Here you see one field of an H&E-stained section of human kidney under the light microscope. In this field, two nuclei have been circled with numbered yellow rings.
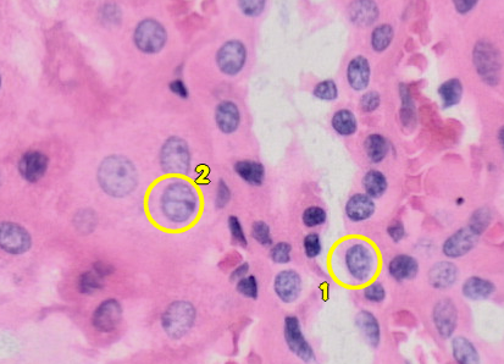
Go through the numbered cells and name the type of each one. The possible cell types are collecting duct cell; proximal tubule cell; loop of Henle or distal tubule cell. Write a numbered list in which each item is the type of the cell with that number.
1. collecting duct cell
2. proximal tubule cell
